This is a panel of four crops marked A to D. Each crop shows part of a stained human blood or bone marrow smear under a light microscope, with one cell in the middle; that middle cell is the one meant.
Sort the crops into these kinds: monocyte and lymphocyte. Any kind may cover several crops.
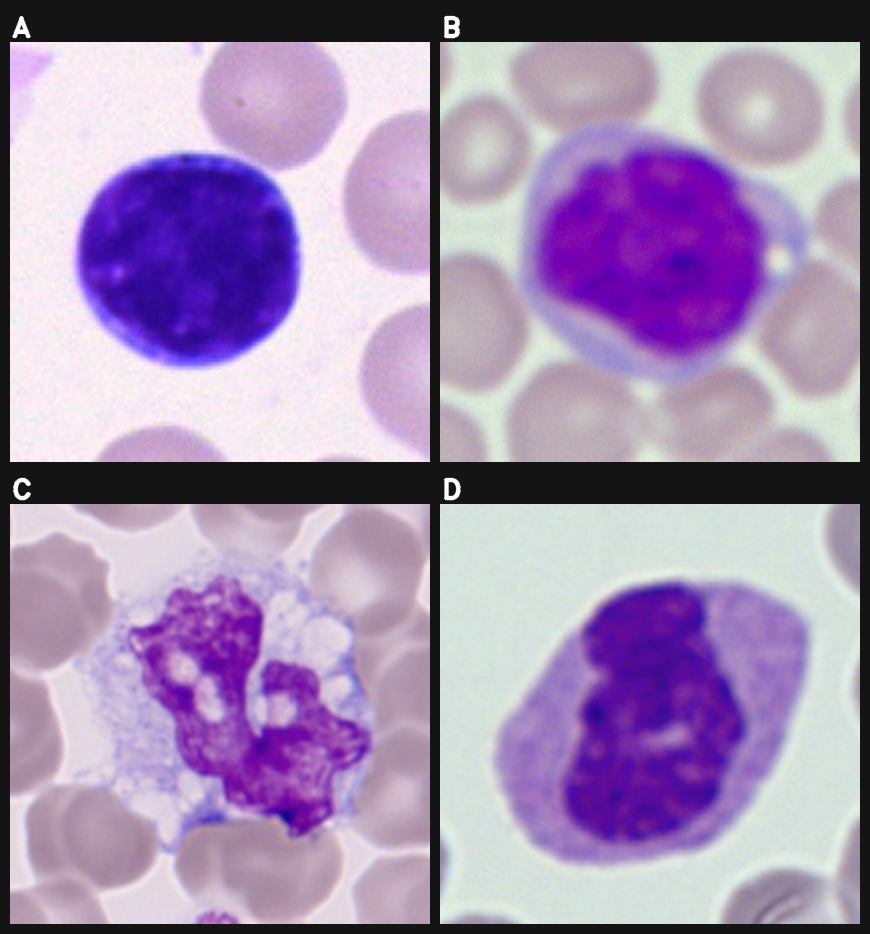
A: lymphocyte
B: monocyte
C: monocyte
D: monocyte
